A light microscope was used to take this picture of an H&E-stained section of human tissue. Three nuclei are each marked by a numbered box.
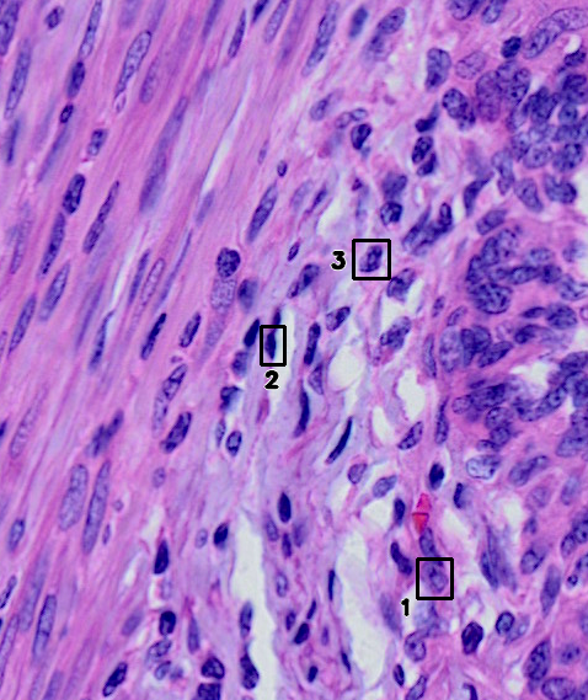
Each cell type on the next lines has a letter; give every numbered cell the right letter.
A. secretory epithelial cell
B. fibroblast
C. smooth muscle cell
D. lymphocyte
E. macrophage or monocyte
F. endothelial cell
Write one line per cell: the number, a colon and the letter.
1: F
2: D
3: D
